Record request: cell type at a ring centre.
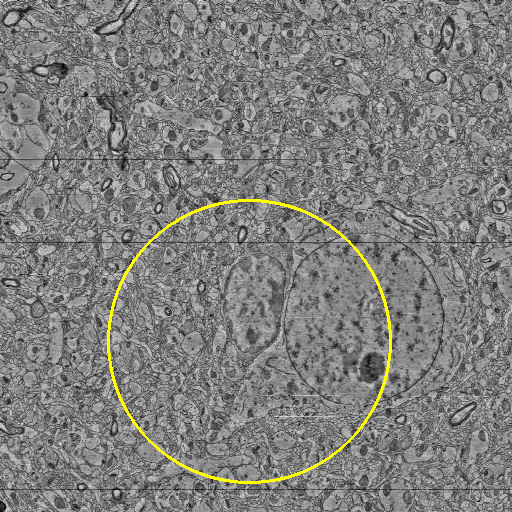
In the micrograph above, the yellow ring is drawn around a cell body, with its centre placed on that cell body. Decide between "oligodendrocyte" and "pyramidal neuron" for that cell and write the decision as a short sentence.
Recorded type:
The cell centred in the yellow ring is an oligodendrocyte.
